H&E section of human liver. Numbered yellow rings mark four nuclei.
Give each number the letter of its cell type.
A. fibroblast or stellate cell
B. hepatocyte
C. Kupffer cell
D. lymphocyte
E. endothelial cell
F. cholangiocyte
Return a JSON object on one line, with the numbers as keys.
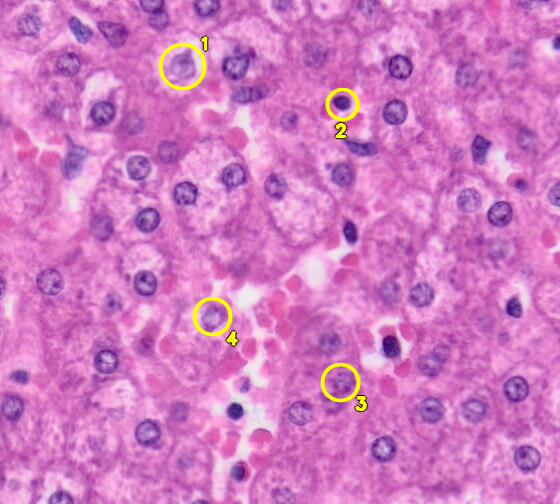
{"1": "B", "2": "D", "3": "B", "4": "B"}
